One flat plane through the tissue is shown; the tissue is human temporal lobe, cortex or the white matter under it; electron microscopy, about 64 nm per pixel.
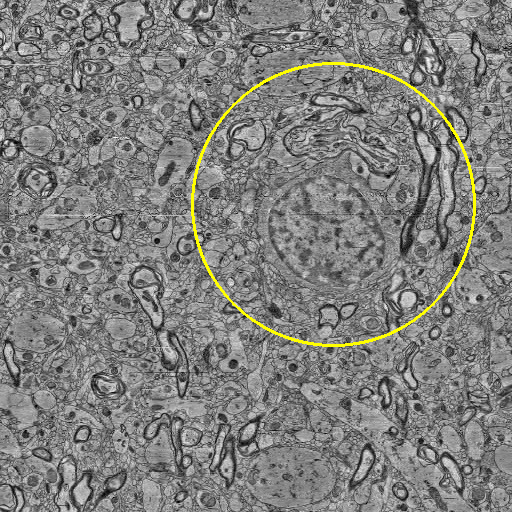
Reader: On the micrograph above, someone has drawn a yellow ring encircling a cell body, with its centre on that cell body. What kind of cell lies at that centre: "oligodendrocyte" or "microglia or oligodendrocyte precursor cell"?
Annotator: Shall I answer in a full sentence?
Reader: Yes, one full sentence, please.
Here an oligodendrocyte sits at the centre of the yellow ring drawn on the micrograph.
